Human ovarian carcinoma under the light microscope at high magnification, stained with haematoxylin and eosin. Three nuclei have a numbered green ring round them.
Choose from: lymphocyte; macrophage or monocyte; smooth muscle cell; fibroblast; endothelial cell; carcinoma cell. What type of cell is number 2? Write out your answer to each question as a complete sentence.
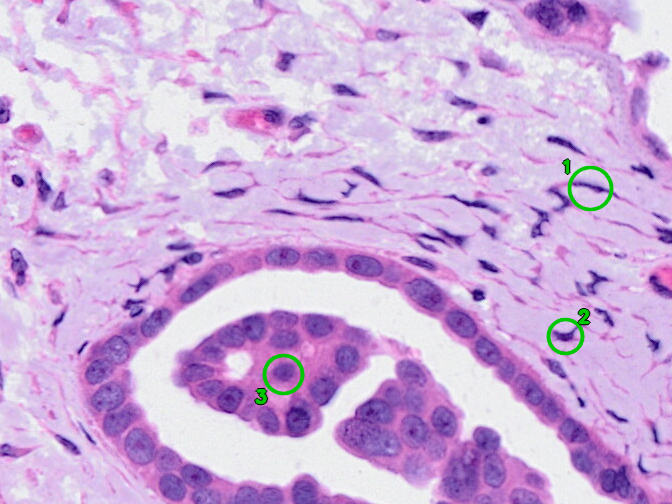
The nucleus with number 2 is that of a fibroblast.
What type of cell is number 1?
The cell pointed out by number 1 is a fibroblast.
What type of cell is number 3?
Corresponding to a carcinoma cell is the cell labelled 3.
